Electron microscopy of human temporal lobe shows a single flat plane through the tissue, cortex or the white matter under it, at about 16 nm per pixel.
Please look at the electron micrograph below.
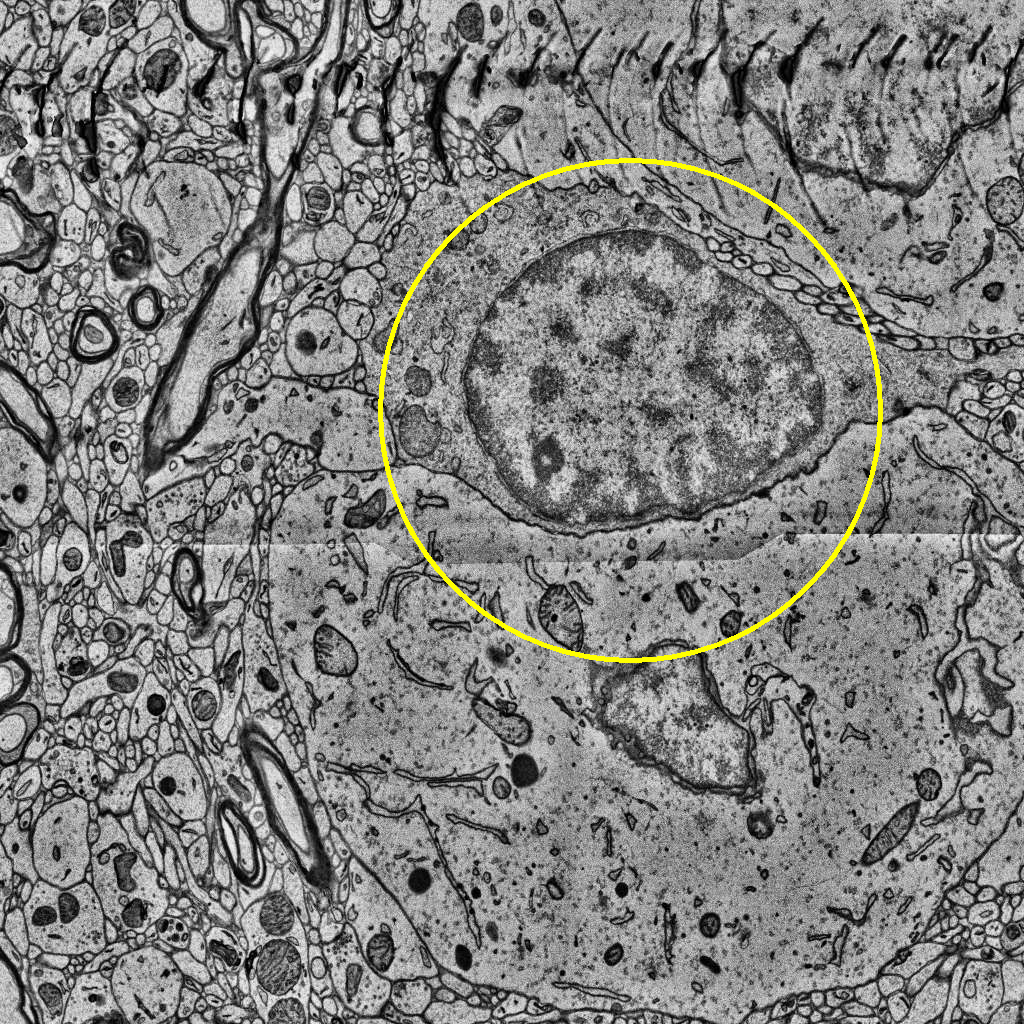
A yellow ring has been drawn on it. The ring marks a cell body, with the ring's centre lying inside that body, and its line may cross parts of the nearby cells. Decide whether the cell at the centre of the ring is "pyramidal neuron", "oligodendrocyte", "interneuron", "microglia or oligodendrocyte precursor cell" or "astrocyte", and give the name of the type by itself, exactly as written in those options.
oligodendrocyte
